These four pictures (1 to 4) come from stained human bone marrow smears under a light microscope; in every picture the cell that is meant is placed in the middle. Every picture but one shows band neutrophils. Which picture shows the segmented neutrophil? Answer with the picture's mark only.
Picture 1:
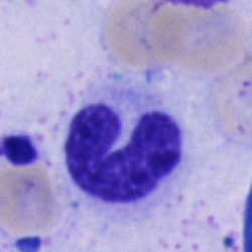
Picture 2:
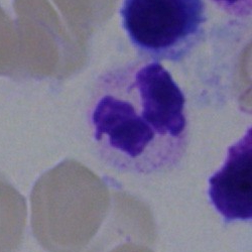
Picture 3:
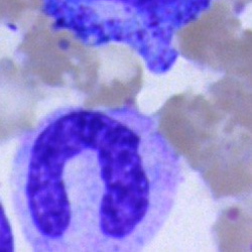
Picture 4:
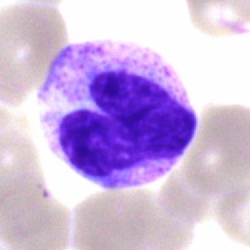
2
